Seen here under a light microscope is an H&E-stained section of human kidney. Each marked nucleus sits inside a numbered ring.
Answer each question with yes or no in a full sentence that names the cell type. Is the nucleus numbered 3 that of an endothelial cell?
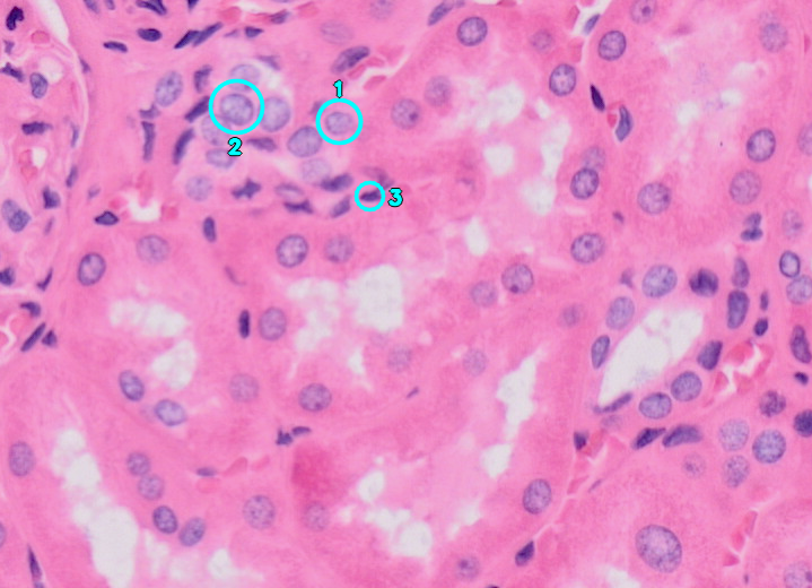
Yes, an endothelial cell is what the cell numbered 3 is.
